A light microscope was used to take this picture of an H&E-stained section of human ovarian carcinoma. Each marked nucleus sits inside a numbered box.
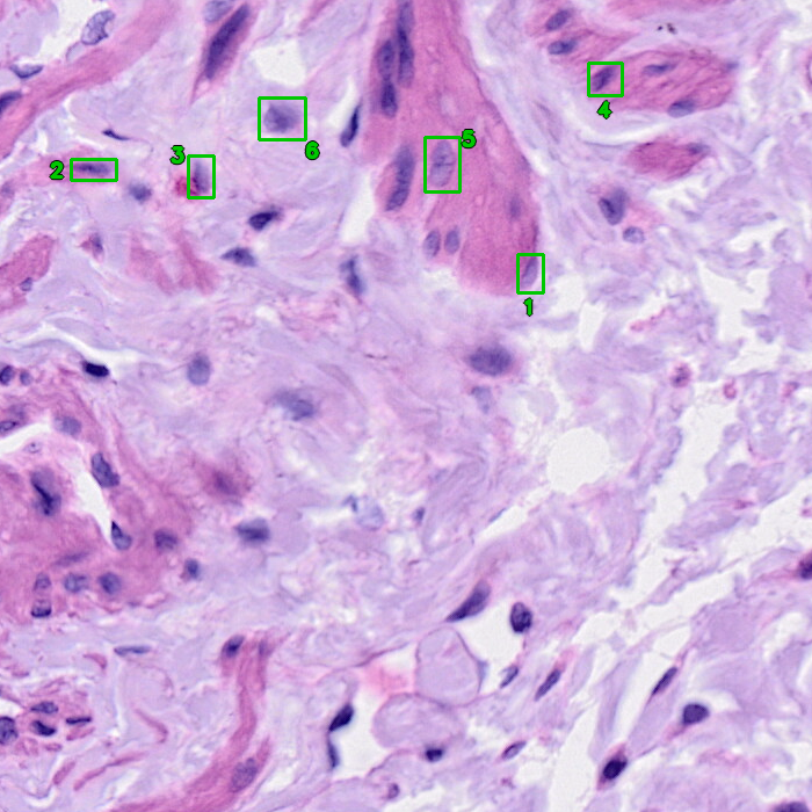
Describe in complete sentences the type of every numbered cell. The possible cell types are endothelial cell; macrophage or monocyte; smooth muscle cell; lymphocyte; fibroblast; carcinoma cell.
Cell 1 is a smooth muscle cell, cell 2 is a smooth muscle cell, cell 3 is an endothelial cell, cell 4 is a smooth muscle cell, cell 5 is a smooth muscle cell and cell 6 is a fibroblast.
